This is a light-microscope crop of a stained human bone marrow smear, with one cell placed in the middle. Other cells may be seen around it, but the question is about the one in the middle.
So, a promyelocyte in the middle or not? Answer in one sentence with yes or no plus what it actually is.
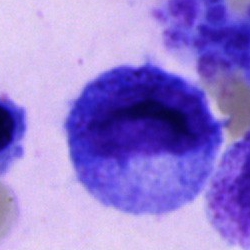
Yes, it is a promyelocyte that is seen at the centre of the crop.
